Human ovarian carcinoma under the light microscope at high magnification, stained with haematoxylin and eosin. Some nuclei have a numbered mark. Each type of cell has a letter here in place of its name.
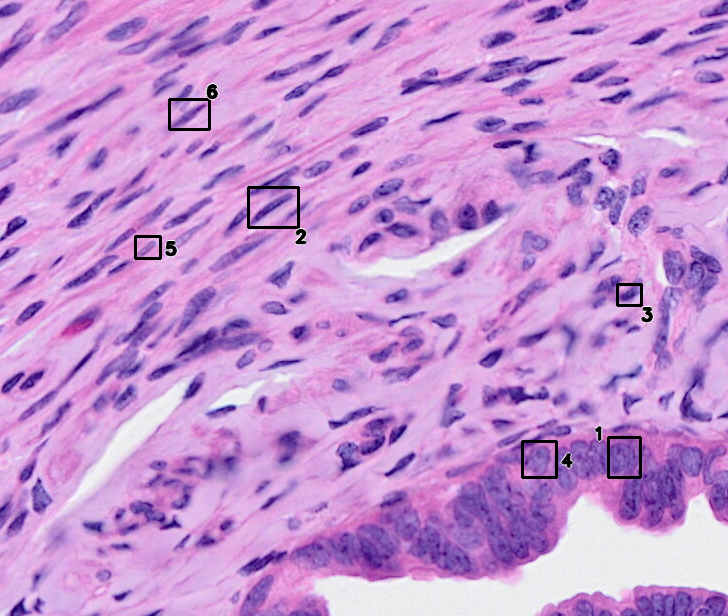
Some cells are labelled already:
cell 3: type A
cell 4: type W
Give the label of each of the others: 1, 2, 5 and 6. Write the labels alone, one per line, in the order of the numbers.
type W
type A
type A
type A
